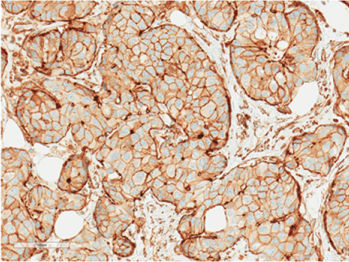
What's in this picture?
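Tumor tissue in which rounded nests of polygonal tumor cells are separated by pale, loose fibrous stroma. The cells have pale blue oval nuclei and moderate amounts of cytoplasm. Brown stain sharply outlines the borders of the cells, giving a honeycomb pattern, while the cytoplasm carries only a lighter brown tint. Staining is often darkest at the outer edge of each nest where cells meet the stroma. Some nests contain small clear round spaces.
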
